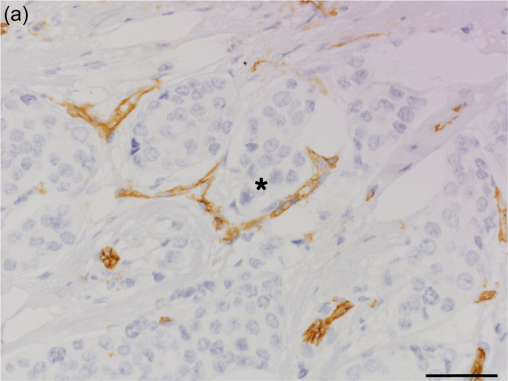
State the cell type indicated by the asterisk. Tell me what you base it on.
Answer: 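The asterisk lies in a cluster of large cells with big oval pale nuclei. The cluster is partly encircled by a thin brown-stained vessel.
Tumor cells.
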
